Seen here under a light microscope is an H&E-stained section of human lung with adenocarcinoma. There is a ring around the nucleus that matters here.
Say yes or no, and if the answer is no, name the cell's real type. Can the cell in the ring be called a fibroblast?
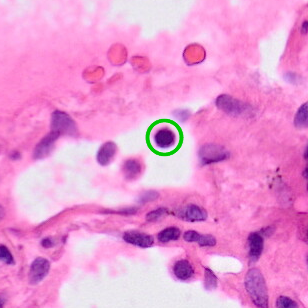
No, it is a lymphocyte.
